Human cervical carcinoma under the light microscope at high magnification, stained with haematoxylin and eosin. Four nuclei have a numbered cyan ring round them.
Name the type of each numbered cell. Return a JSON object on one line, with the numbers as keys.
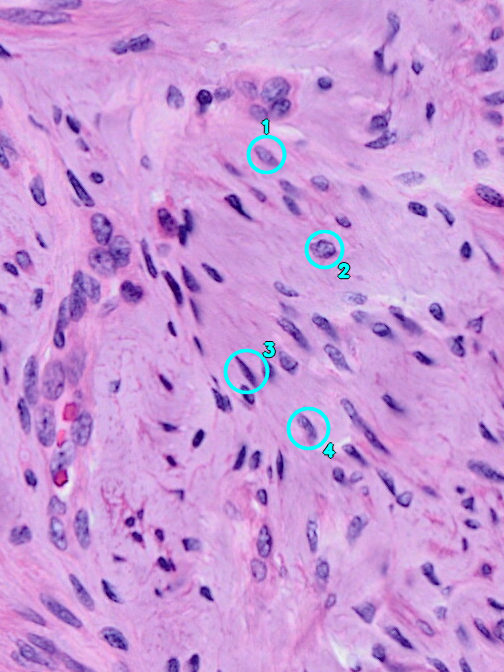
{"1": "smooth muscle cell", "2": "smooth muscle cell", "3": "fibroblast", "4": "fibroblast"}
